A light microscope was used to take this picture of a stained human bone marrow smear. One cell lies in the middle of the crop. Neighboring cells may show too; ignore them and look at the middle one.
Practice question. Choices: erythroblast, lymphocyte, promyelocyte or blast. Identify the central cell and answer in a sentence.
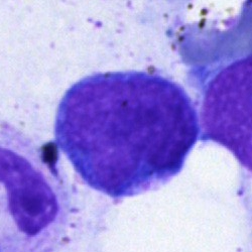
The cell occupying the middle of the crop is a lymphocyte.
